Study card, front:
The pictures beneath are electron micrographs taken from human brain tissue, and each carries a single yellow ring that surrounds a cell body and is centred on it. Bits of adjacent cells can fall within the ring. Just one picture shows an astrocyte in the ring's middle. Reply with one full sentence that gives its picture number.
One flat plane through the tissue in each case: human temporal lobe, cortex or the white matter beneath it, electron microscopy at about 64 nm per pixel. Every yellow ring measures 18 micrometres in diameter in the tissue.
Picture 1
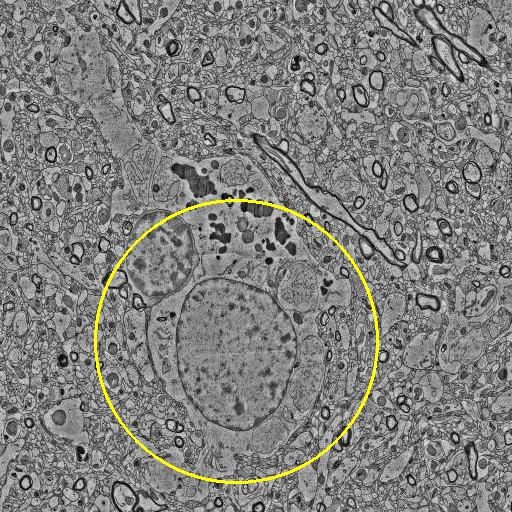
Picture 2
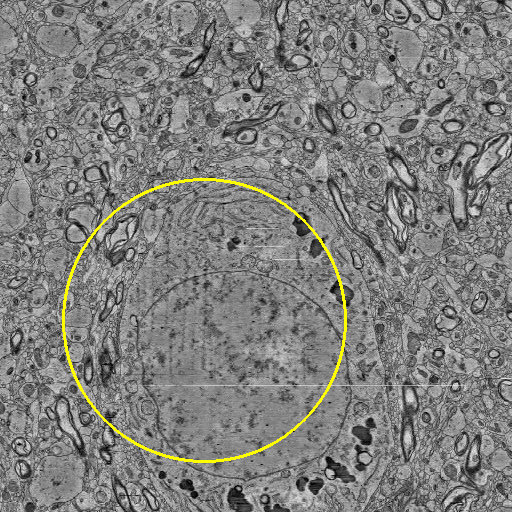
Picture 1 is the one whose ring has the requested cell at its centre.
